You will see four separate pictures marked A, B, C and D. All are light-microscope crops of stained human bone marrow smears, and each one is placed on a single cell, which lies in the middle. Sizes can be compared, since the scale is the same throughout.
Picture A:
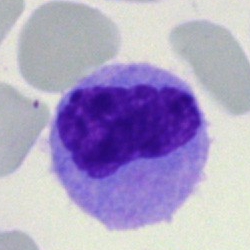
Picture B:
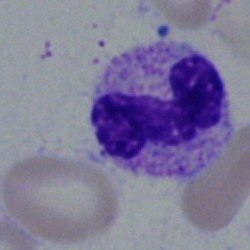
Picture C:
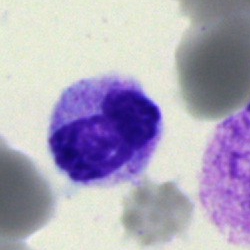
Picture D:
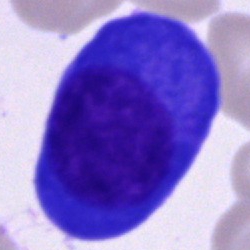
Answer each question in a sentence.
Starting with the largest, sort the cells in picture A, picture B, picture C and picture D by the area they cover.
The order is D, A, B, C, beginning with the largest.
